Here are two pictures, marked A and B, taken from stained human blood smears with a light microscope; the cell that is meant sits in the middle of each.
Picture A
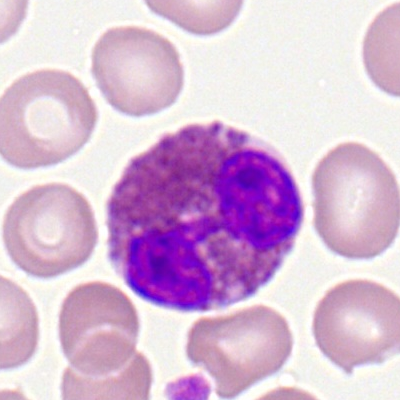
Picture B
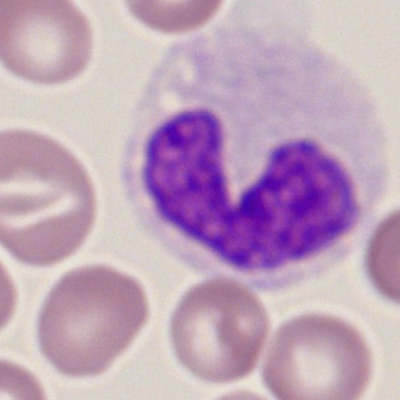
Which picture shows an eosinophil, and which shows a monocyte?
A: eosinophil
B: monocyte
